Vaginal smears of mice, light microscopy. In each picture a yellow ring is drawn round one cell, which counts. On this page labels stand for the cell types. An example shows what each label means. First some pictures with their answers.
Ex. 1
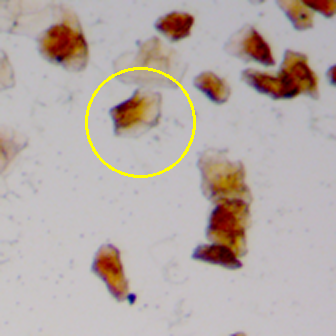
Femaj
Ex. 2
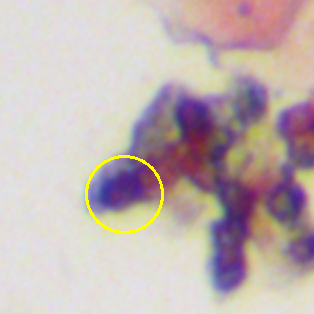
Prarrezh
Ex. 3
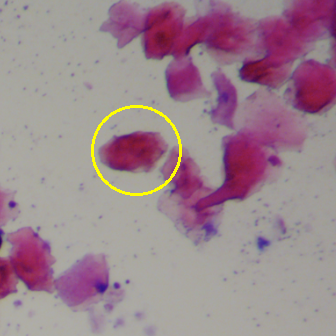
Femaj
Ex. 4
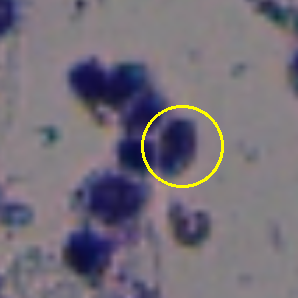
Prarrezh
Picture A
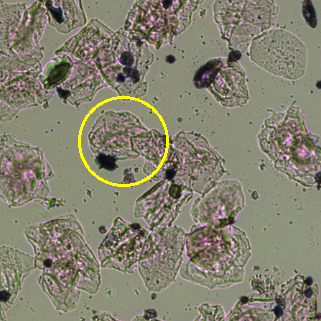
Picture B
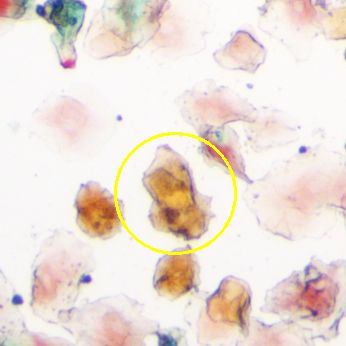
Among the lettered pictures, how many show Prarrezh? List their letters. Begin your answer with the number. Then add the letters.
0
